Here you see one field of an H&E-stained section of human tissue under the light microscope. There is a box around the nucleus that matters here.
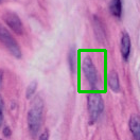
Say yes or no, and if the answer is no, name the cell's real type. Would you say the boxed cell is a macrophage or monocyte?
No, it is a smooth muscle cell.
